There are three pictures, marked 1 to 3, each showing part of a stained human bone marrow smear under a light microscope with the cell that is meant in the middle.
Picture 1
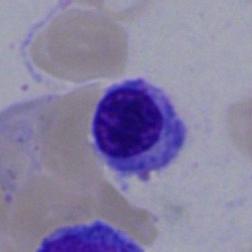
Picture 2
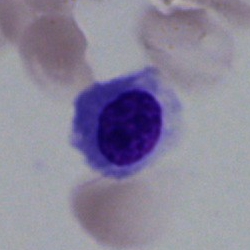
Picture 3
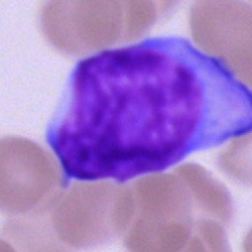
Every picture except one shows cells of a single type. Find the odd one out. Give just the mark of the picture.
3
